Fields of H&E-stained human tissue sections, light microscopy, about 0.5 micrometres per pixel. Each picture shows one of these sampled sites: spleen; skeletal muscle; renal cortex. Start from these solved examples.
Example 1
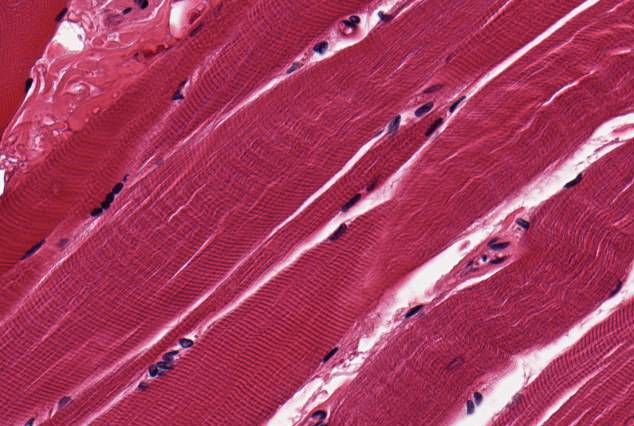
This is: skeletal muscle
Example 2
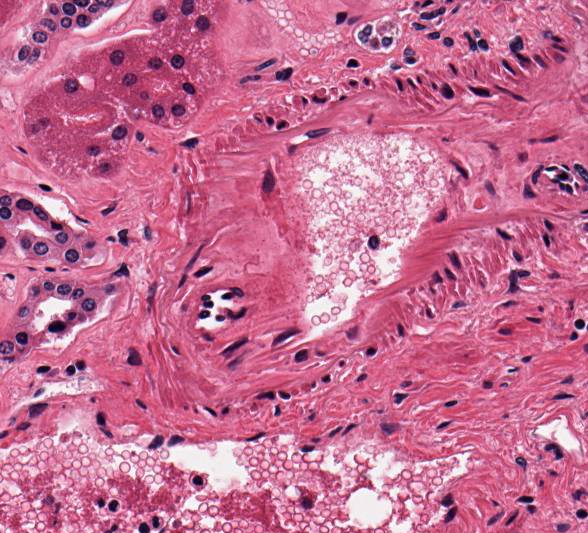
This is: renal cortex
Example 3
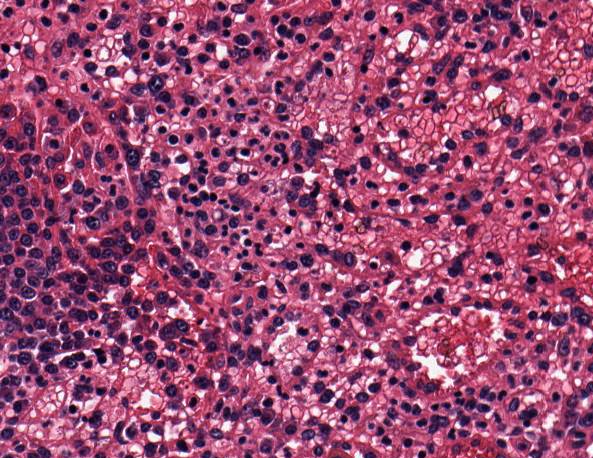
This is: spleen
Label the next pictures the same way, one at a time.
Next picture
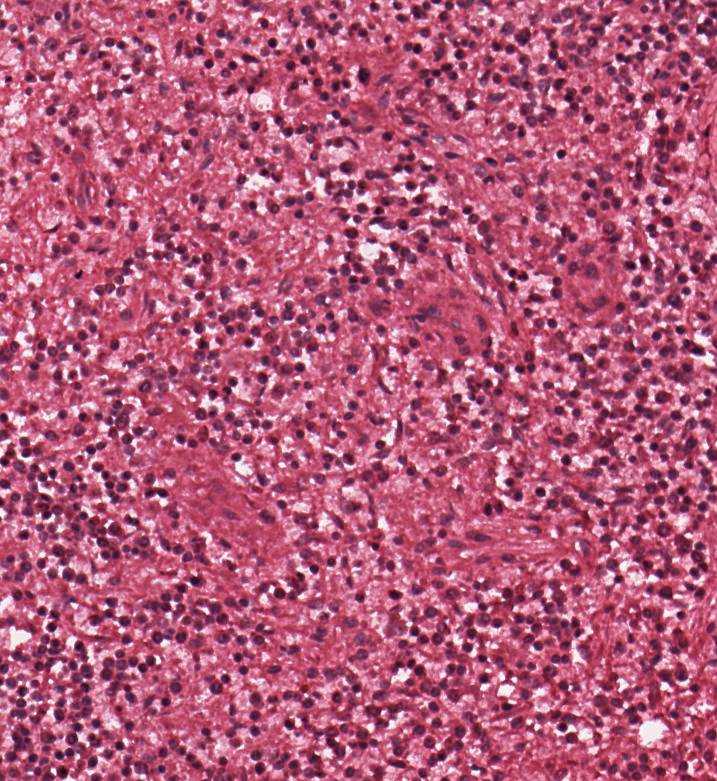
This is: spleen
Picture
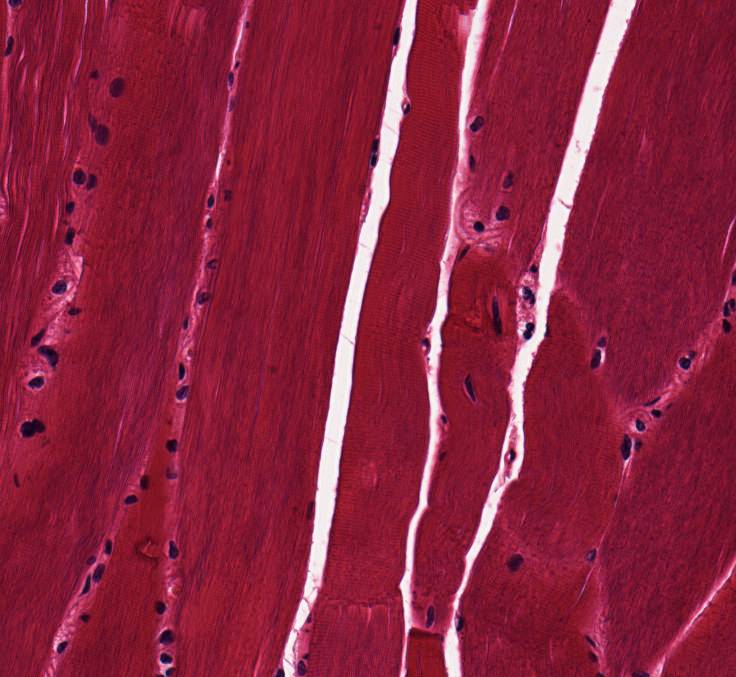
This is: skeletal muscle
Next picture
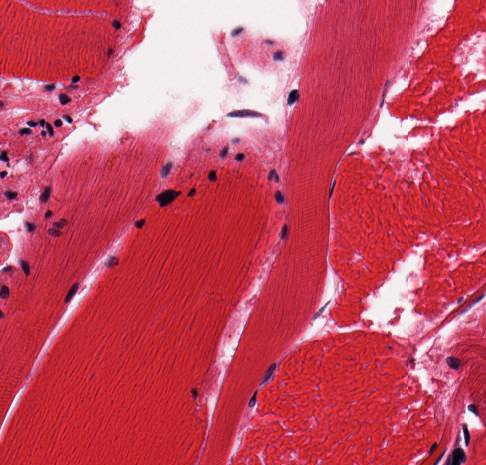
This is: skeletal muscle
